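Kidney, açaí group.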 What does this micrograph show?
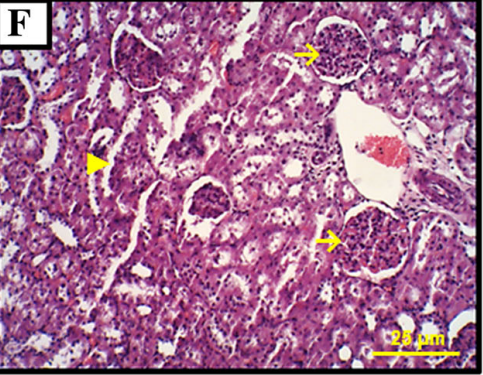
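This is renal cortex in which several renal corpuscles lie among many cross-sectioned tubules. Each corpuscle holds a round glomerular tuft crowded with dark purple nuclei, separated from its enclosing capsule by a thin clear crescent of space. Between the corpuscles the tubules are lined by a single layer of pink-staining epithelial cells around open pale lumens.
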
